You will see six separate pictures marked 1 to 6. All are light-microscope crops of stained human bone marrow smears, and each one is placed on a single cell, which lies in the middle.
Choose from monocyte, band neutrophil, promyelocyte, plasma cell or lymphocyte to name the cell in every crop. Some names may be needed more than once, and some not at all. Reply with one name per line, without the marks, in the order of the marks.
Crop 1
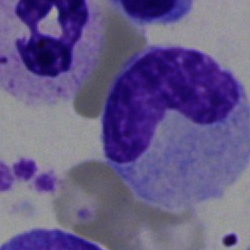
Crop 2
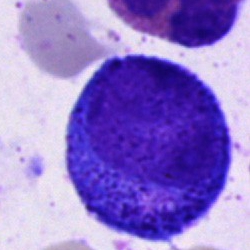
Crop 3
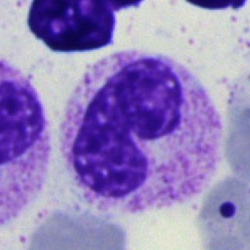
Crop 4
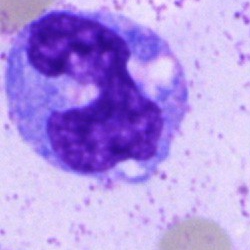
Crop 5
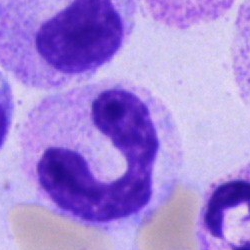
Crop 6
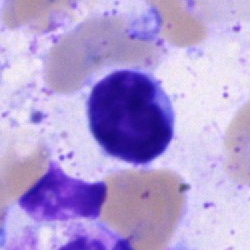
band neutrophil
promyelocyte
band neutrophil
monocyte
band neutrophil
lymphocyte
